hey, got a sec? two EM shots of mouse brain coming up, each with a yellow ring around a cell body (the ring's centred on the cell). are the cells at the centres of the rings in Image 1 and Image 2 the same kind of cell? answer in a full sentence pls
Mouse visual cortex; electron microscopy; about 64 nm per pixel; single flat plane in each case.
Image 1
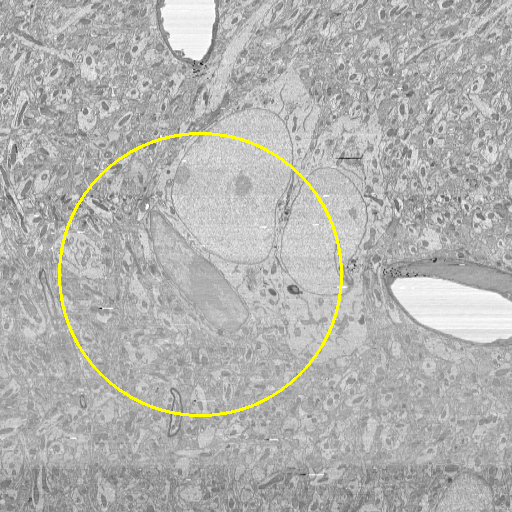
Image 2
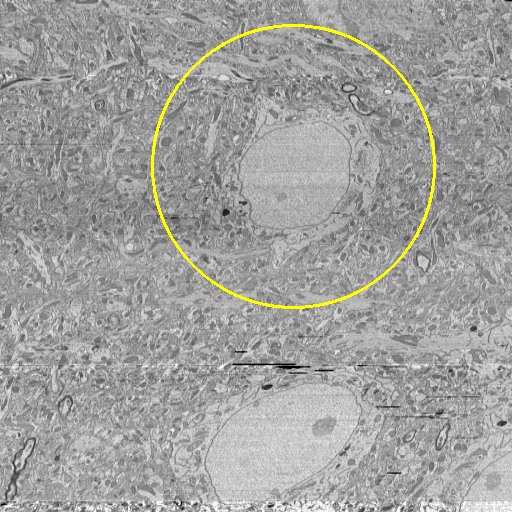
No, they are two kinds of cell.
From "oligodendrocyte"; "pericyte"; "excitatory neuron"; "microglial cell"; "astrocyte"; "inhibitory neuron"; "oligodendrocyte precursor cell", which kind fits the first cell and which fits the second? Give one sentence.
The cell marked in the first picture is a microglial cell, and the one marked in the second is an excitatory neuron.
